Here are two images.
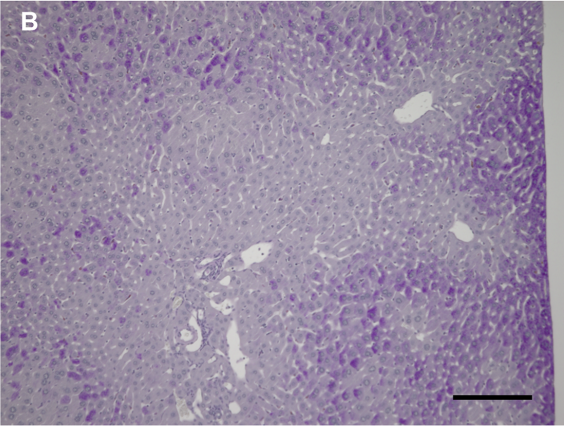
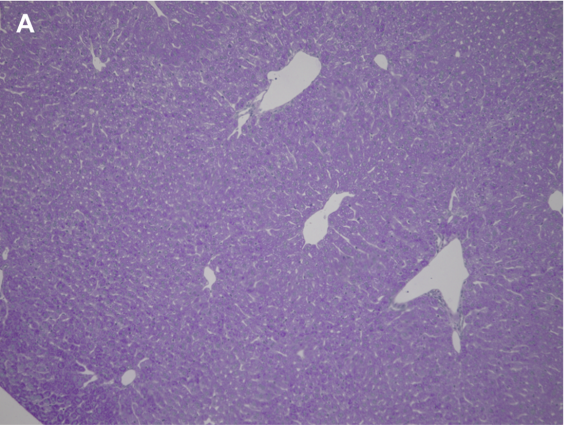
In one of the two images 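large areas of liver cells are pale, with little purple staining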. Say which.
the first image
